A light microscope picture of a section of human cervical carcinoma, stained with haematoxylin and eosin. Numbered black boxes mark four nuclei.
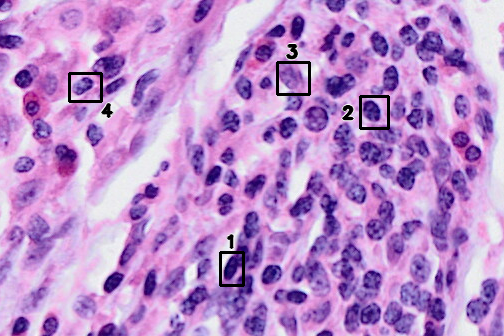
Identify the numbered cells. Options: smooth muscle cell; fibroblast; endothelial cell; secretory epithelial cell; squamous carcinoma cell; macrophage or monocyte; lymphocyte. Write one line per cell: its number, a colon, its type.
1: lymphocyte
2: lymphocyte
3: macrophage or monocyte
4: lymphocyte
